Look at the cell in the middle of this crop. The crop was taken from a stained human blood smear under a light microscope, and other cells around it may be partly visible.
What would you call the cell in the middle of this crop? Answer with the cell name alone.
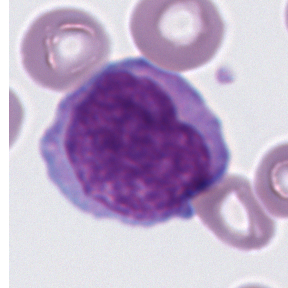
atypical promyelocyte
